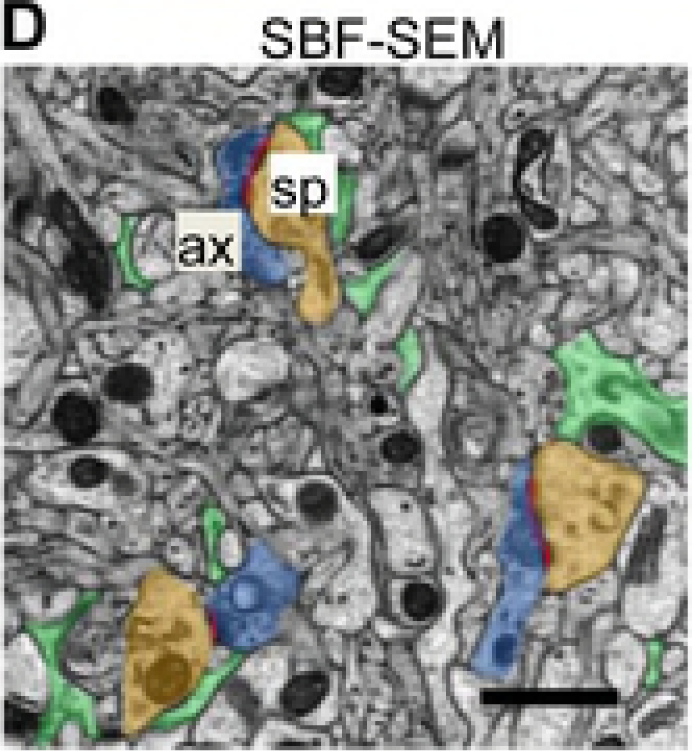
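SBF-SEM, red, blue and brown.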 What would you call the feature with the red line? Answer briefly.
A: postsynaptic density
